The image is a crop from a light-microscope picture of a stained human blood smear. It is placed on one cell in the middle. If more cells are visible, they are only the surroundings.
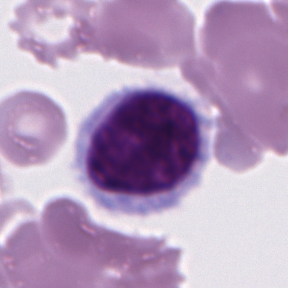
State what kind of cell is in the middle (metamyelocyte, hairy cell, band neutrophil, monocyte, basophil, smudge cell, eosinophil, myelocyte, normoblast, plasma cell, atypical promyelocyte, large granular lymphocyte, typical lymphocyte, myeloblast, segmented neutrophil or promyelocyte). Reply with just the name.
hairy cell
